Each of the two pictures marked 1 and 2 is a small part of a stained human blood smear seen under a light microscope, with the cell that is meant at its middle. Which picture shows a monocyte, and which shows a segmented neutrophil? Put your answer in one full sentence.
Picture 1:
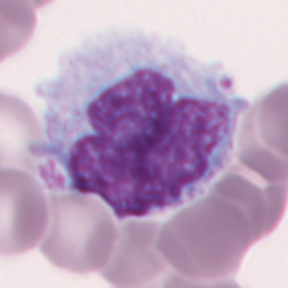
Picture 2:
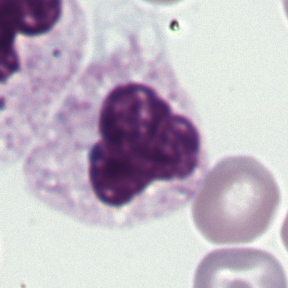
It is picture 1 that shows a monocyte, and picture 2 that shows a segmented neutrophil.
